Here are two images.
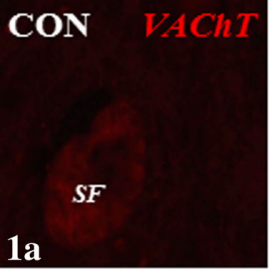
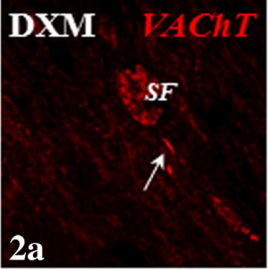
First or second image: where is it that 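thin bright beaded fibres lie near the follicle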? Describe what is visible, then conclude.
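Second image: a bright red elongated profile lies close to the rounded follicle. First image: only faint diffuse red around the follicle, no bright thin profiles. So: the second image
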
